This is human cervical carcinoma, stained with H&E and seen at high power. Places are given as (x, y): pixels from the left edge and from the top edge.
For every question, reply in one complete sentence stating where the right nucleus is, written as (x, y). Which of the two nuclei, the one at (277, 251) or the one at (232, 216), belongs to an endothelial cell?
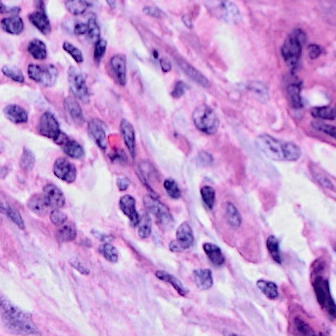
The nucleus contained in an endothelial cell is the one at (232, 216).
